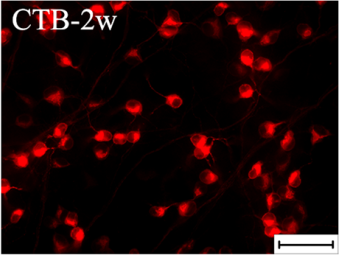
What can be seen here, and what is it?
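These are retinal ganglion cells seen from above in the retina, their cell bodies filled with red fluorescence. The somata are round to oval and fairly uniform in size, scattered singly and in small loose groups across the dark field. From many of them thin red processes emerge, and fine red fibres cross the field between the cells. The label fills the cytoplasm while the cell bodies keep a smooth, rounded outline. Dark background separates most cells from their neighbours.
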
